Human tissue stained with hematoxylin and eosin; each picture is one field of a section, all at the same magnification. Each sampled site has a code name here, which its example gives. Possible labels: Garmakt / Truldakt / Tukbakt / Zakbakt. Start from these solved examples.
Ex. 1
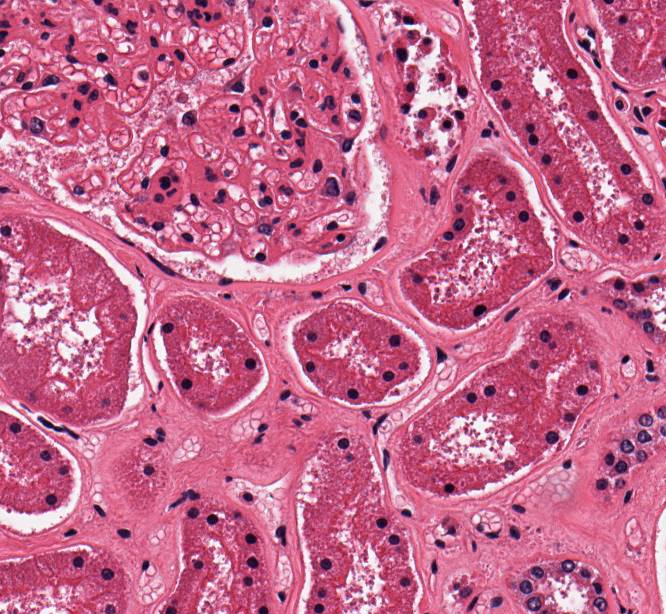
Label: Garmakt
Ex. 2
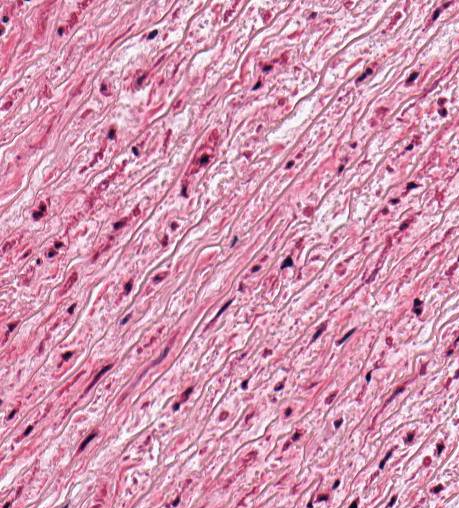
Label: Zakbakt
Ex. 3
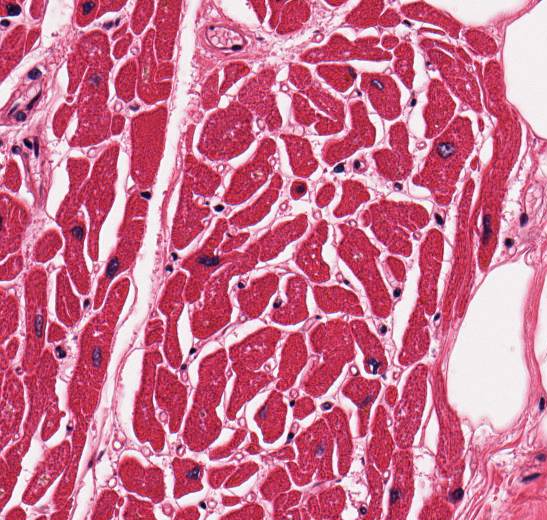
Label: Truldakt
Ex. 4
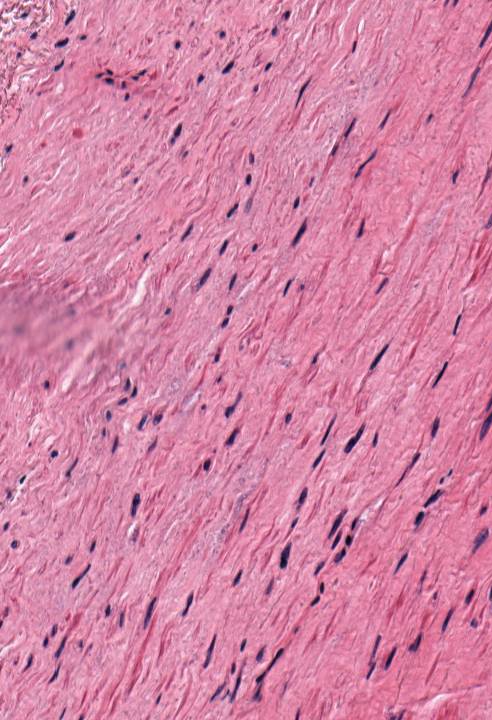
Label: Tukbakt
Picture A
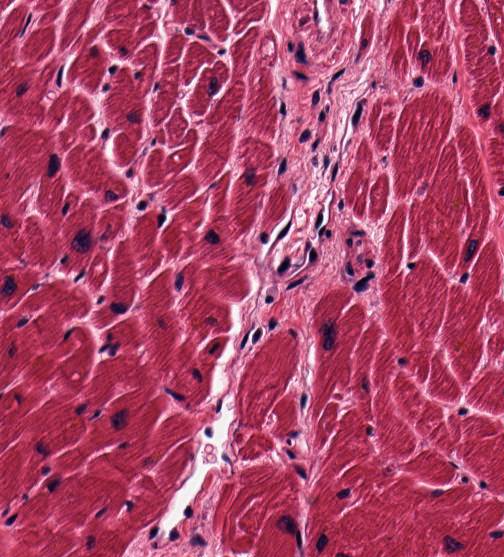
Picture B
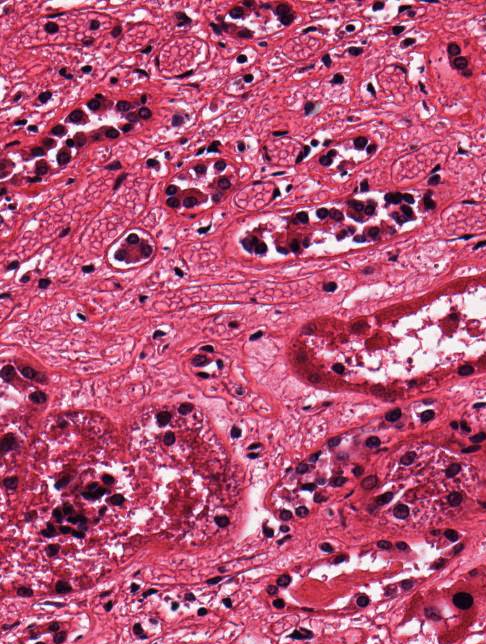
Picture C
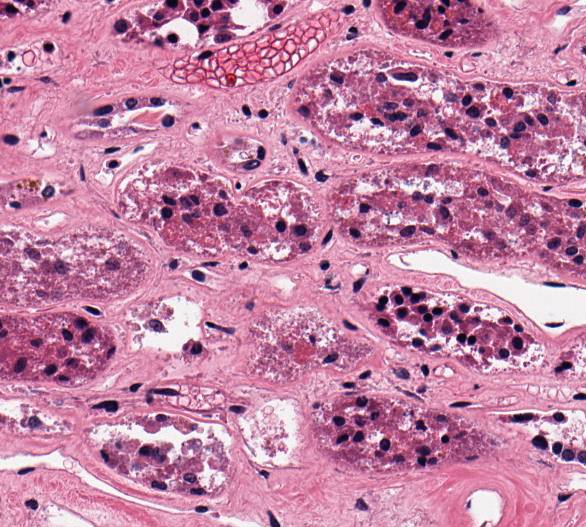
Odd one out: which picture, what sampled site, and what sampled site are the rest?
A differs and shows Truldakt; the others show Garmakt.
